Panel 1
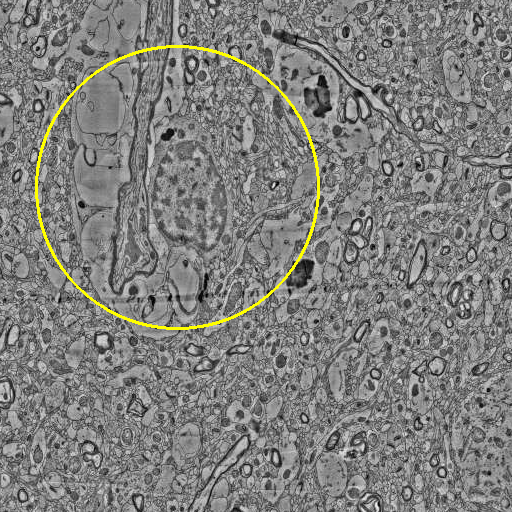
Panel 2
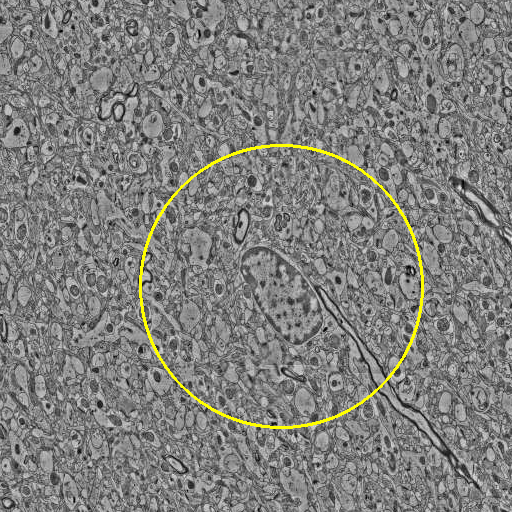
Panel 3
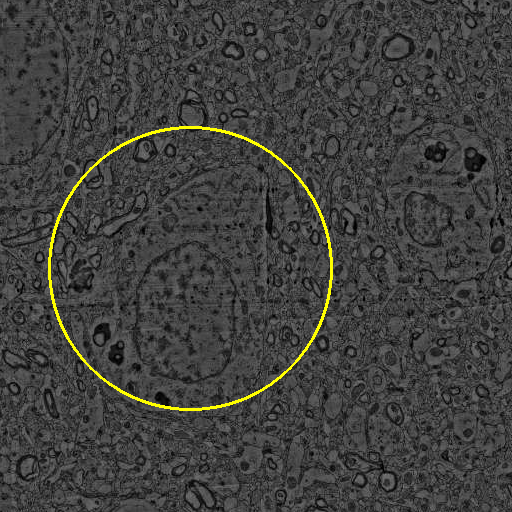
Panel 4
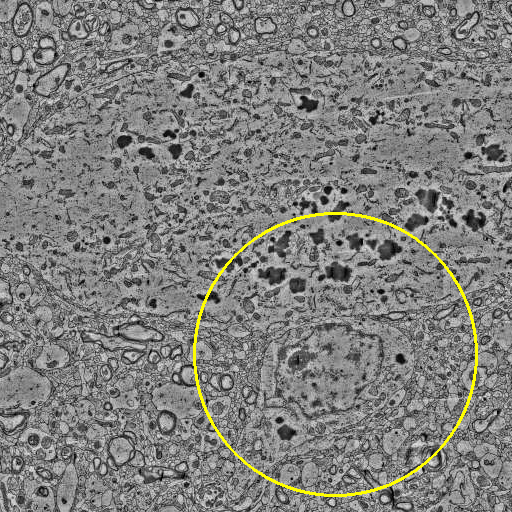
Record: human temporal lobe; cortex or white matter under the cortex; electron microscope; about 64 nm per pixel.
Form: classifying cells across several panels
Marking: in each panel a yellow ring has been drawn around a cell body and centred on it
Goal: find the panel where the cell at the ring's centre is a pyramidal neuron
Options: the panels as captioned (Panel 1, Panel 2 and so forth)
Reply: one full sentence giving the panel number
Panel 3 shows the wanted cell at the centre of its ring.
